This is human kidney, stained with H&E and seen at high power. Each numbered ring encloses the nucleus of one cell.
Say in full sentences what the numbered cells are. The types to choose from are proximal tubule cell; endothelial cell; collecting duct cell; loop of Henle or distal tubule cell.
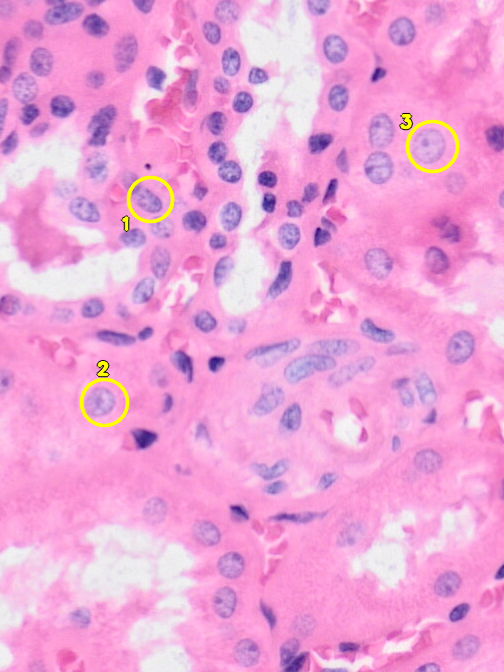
Cell 1 is a collecting duct cell, cell 2 is a proximal tubule cell and cell 3 is a proximal tubule cell.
